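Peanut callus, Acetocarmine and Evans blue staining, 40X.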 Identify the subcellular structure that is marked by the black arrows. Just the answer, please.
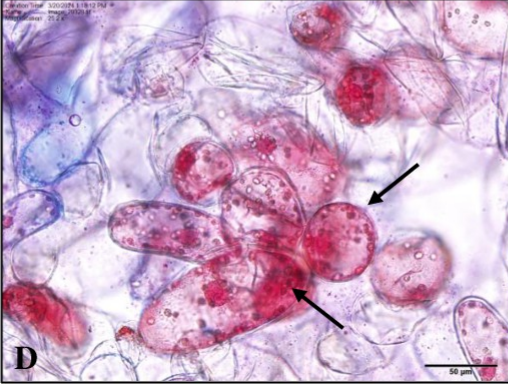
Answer: Dense cytoplasm.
